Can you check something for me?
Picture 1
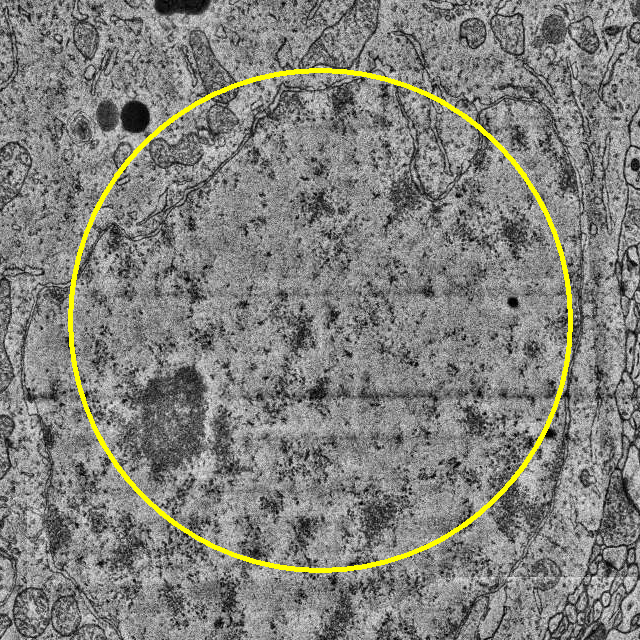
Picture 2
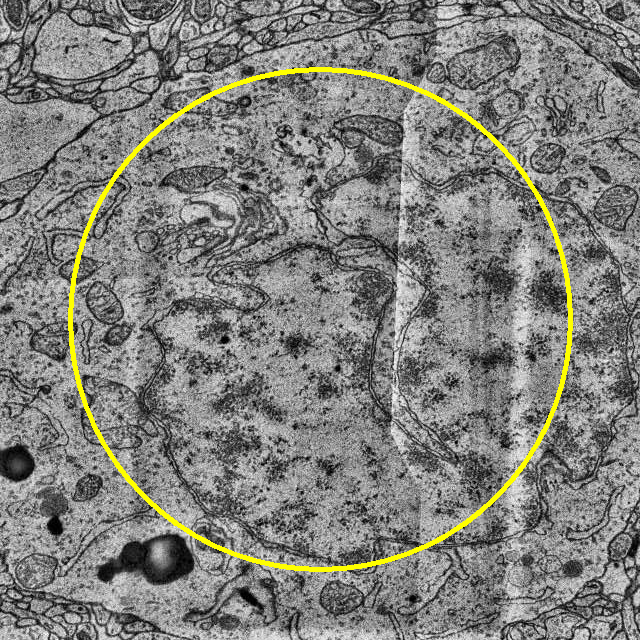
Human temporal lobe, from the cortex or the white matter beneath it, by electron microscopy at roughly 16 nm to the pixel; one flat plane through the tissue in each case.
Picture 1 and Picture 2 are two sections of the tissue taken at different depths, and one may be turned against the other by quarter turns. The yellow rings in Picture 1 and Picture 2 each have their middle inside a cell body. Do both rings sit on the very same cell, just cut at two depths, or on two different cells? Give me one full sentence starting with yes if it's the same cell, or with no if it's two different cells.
Yes, the cell marked in each ring is one and the same.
